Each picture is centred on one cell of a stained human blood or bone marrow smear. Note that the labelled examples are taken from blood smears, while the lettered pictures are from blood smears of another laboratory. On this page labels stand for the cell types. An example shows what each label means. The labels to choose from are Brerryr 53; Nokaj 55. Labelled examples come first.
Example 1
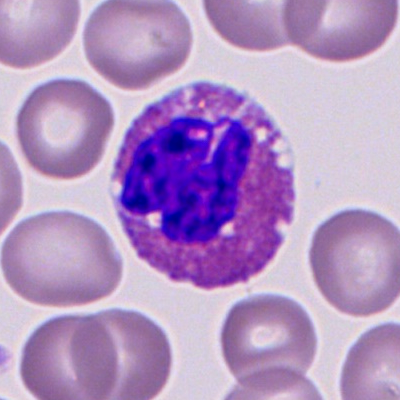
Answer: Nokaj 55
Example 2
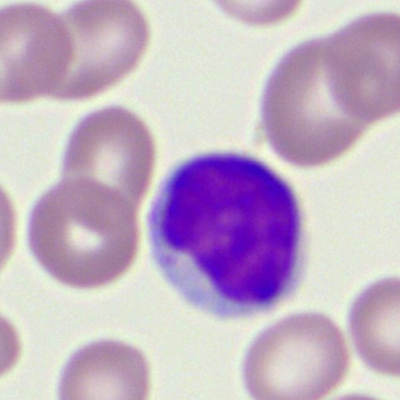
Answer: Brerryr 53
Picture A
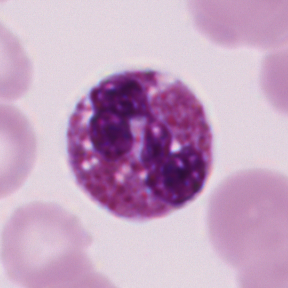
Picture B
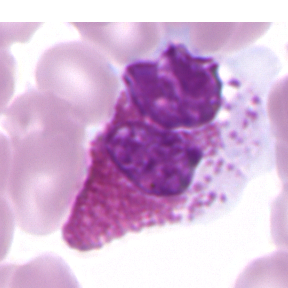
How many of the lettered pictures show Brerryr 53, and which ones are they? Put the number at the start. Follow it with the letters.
0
